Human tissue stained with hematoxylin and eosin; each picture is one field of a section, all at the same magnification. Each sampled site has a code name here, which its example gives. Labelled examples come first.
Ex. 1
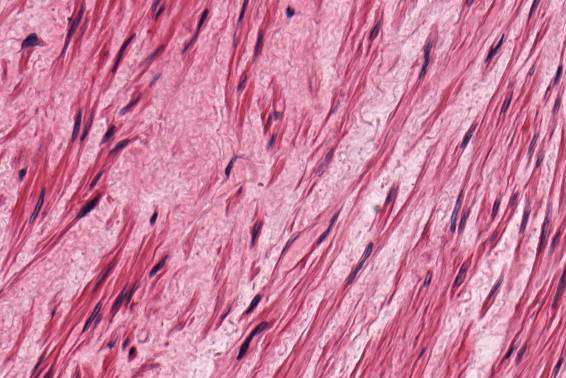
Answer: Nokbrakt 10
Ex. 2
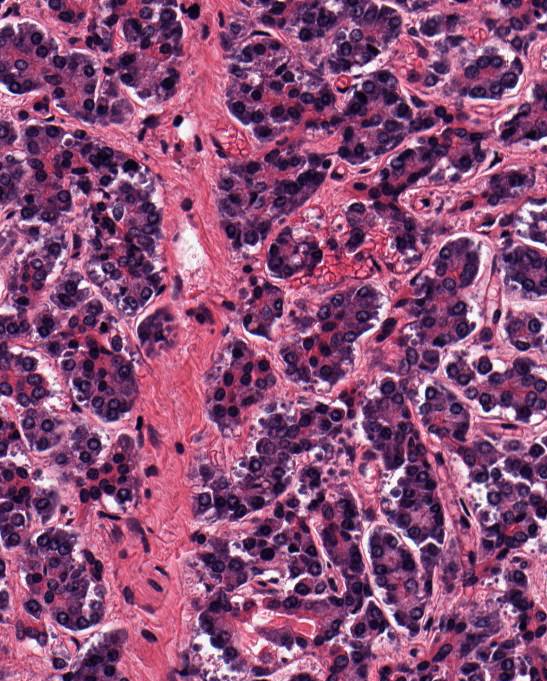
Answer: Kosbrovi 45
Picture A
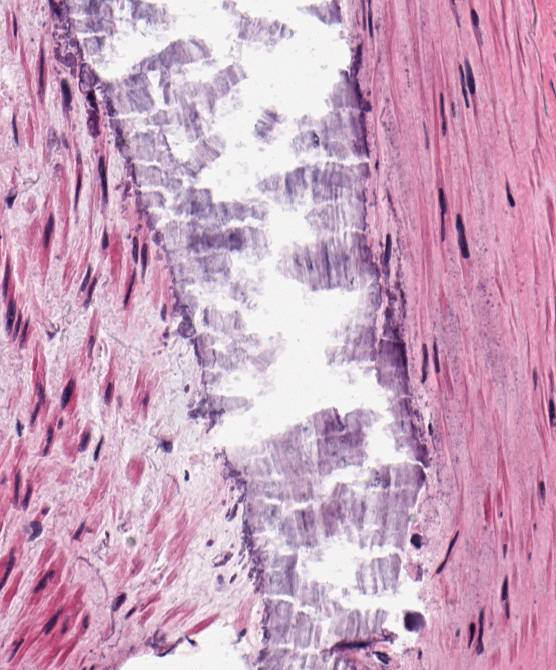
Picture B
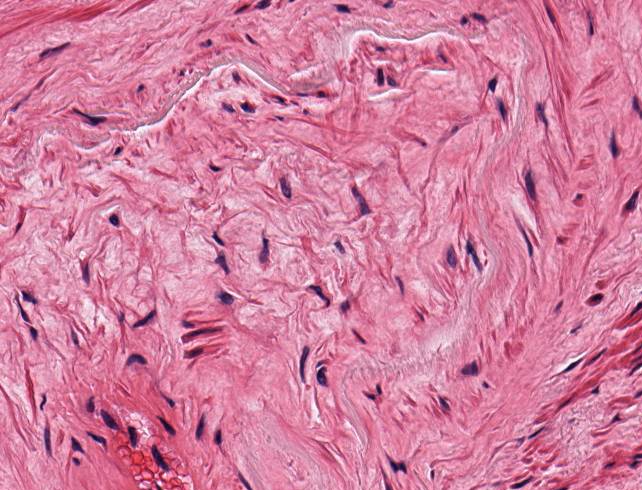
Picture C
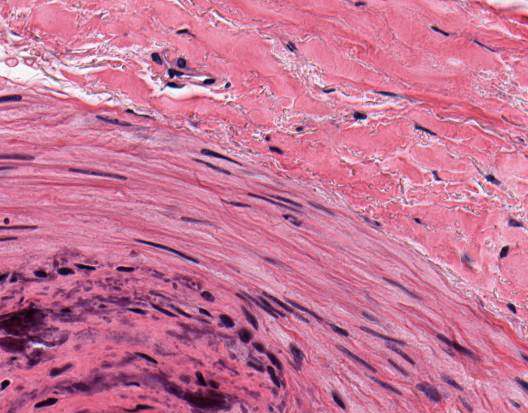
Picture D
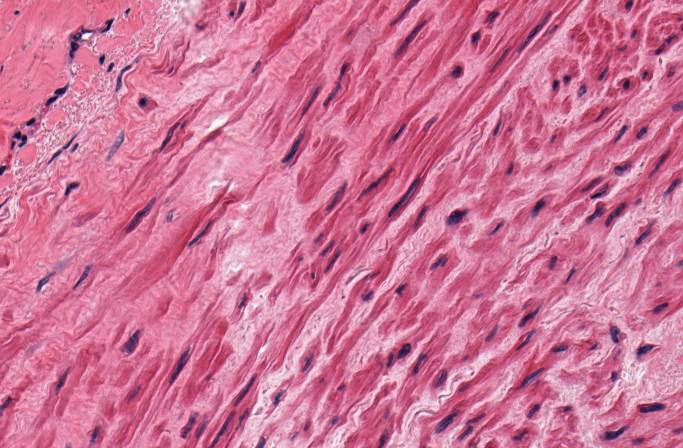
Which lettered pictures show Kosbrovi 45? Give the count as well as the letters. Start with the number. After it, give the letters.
0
